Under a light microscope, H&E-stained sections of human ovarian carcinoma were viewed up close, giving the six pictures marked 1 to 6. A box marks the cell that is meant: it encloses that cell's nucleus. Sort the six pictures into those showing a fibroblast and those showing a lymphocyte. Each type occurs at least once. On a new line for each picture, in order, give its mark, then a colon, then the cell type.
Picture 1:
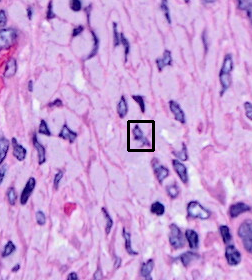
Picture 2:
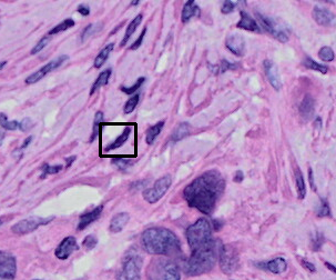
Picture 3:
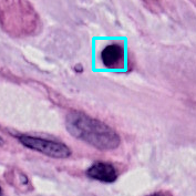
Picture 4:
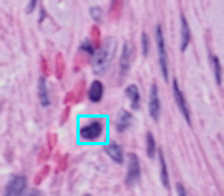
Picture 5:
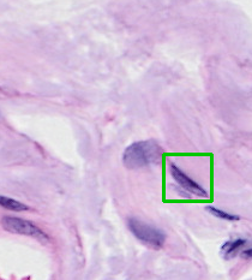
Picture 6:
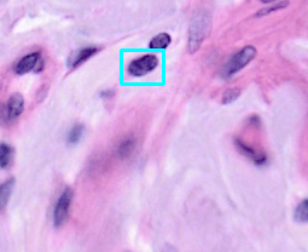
1: fibroblast
2: fibroblast
3: lymphocyte
4: lymphocyte
5: fibroblast
6: lymphocyte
